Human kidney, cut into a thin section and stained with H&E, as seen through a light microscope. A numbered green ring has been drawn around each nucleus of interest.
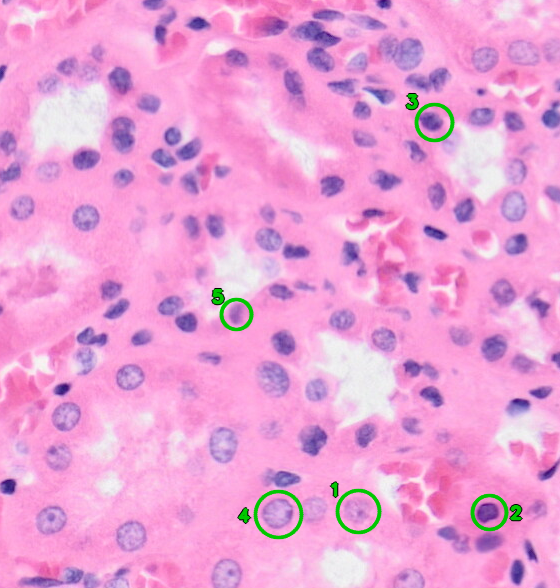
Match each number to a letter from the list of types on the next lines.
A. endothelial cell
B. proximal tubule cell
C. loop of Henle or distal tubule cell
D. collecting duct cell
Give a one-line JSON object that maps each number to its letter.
{"1": "B", "2": "B", "3": "C", "4": "B", "5": "C"}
